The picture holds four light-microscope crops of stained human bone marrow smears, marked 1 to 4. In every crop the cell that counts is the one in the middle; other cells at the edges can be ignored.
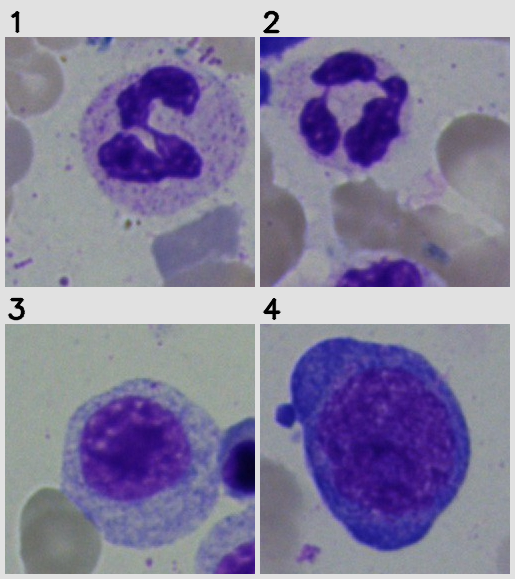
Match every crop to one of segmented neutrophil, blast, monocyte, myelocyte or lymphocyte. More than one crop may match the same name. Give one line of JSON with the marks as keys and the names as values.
{"1": "segmented neutrophil", "2": "segmented neutrophil", "3": "myelocyte", "4": "blast"}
